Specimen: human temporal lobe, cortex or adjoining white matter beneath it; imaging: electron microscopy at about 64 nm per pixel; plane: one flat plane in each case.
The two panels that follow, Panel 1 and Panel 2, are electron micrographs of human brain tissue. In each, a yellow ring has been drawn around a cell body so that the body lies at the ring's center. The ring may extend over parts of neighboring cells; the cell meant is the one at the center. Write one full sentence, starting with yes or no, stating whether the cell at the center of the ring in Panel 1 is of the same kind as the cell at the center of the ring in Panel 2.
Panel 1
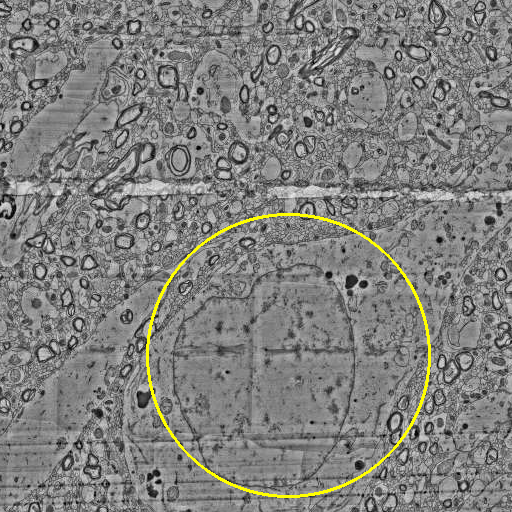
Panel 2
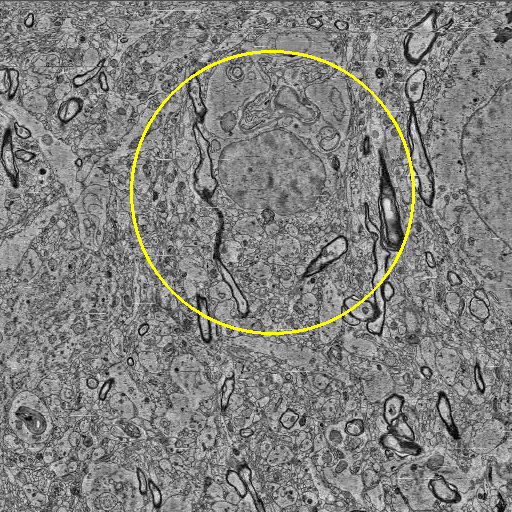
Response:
No, the cells in the two panels are of two kinds.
